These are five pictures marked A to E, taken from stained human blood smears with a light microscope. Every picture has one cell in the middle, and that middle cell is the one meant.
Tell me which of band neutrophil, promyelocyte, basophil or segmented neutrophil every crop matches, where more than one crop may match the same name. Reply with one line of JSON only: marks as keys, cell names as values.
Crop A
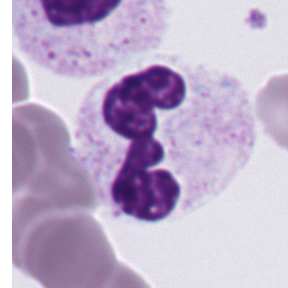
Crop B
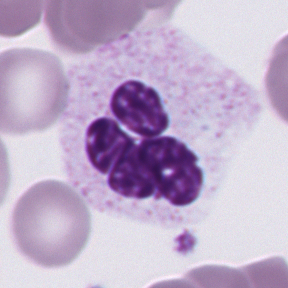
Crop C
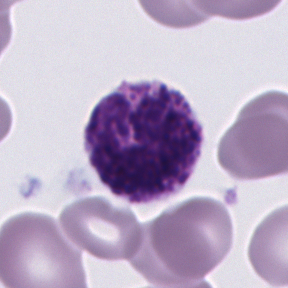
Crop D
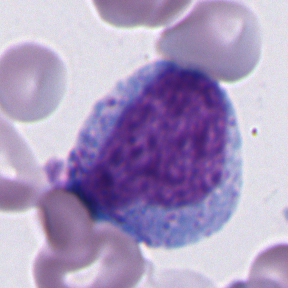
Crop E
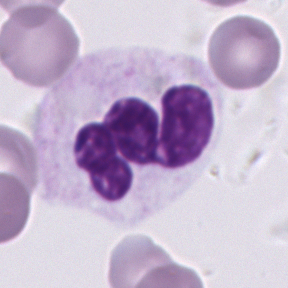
{"A": "segmented neutrophil", "B": "segmented neutrophil", "C": "basophil", "D": "promyelocyte", "E": "segmented neutrophil"}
